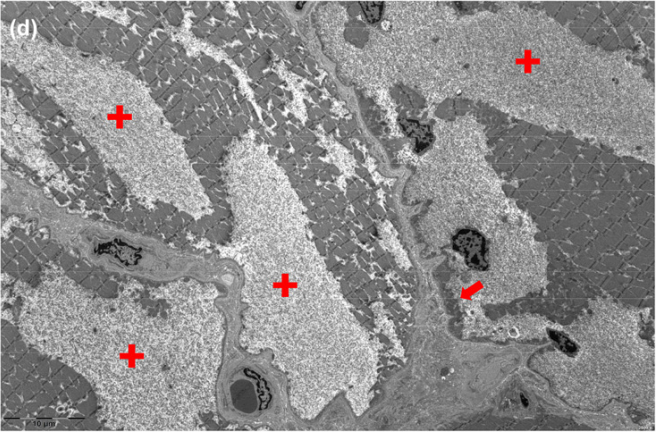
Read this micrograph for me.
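Muscle fibers show regions of ordered, striated myofibrils broken up by large pale, finely granular areas without filaments. These pale areas lie beneath the fiber membrane and spread between the myofibrils, with dark nuclei and a capillary nearby. A few small dark granules remain at the edges of the pale zones.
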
